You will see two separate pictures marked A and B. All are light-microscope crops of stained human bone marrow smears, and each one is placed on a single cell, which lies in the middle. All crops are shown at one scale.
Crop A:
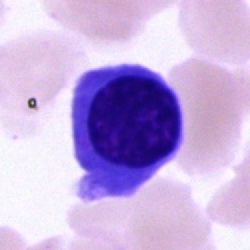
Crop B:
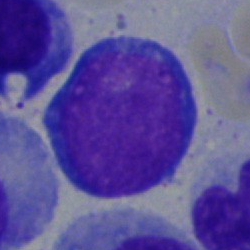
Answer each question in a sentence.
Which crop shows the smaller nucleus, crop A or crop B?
Smaller is the nucleus in crop A, and the other is about 2 times as large in area.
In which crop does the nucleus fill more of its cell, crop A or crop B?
Of the two, the nucleus in crop B makes up the greater part of its cell.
